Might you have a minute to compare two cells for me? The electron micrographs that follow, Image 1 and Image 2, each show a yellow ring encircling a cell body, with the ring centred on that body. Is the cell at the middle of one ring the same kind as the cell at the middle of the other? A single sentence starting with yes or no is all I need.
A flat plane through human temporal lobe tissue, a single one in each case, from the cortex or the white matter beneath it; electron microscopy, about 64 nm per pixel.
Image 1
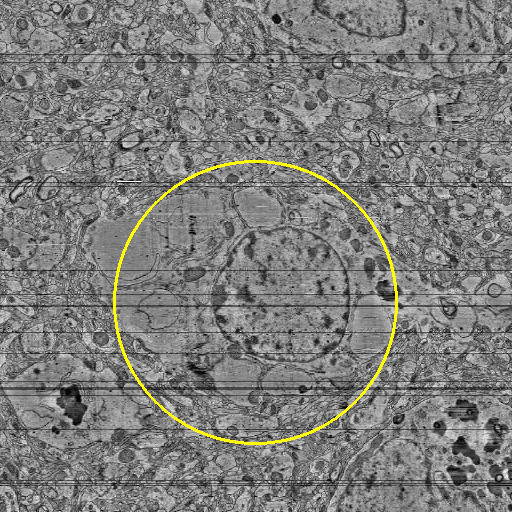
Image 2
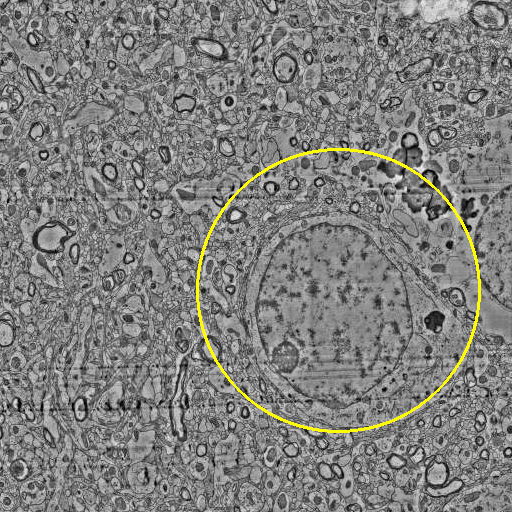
No, the cells in the middle of the two rings are of two separate kinds.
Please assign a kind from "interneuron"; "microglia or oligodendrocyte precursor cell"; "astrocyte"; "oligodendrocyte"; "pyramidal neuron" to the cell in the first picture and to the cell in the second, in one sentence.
In the first picture we have an astrocyte, and in the second, a pyramidal neuron.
